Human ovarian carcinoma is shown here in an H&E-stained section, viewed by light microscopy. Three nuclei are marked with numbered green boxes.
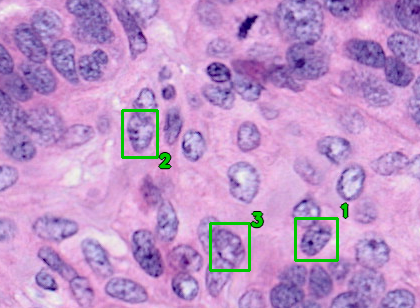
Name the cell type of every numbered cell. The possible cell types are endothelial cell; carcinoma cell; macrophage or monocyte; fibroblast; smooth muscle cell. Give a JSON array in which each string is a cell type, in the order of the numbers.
["macrophage or monocyte", "fibroblast", "fibroblast"]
